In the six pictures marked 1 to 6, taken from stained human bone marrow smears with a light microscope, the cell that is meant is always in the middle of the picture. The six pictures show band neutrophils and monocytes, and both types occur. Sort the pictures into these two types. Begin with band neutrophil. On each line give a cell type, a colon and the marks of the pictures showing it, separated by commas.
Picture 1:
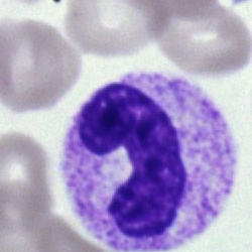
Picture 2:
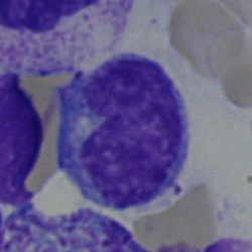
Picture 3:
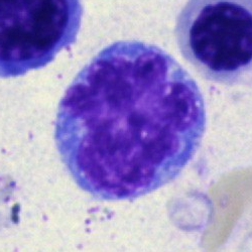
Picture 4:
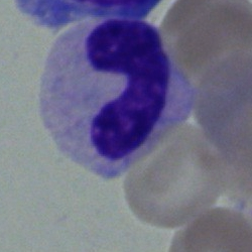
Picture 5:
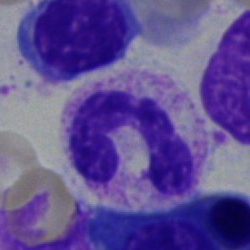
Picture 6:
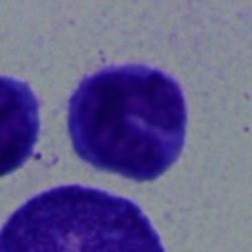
band neutrophil: 1, 4, 5
monocyte: 2, 3, 6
